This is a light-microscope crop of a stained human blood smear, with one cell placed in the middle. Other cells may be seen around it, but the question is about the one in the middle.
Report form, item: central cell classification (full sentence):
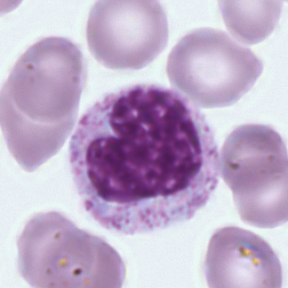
To answer, the cell in the center of the crop is a band neutrophil.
